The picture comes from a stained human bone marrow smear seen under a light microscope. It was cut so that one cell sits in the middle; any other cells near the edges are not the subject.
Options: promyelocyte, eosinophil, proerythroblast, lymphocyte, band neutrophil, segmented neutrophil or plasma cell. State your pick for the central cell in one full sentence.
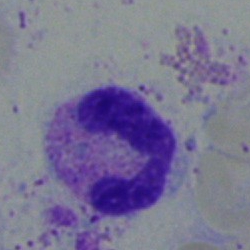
Centred in the crop is a band neutrophil.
